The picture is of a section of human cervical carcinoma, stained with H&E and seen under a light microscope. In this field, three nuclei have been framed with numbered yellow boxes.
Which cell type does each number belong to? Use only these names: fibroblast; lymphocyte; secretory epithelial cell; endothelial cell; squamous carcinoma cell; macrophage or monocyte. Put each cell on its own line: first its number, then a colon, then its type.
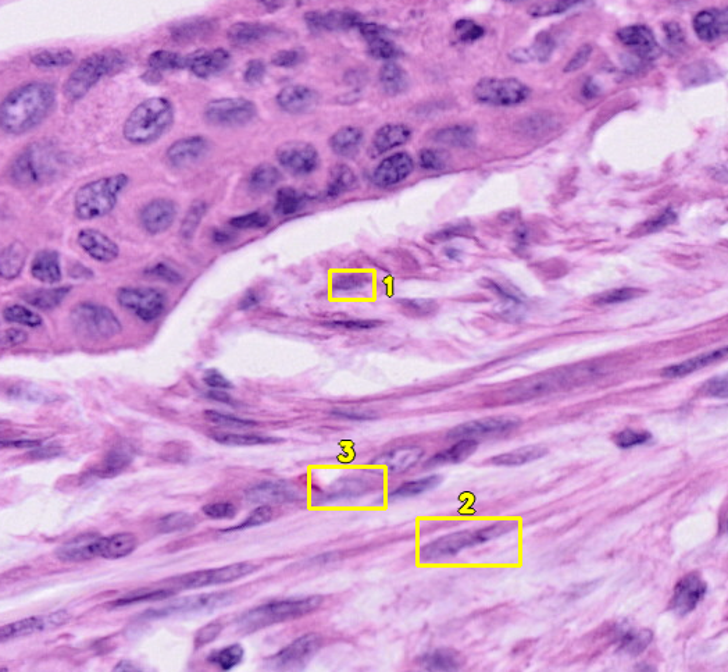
1: fibroblast
2: fibroblast
3: endothelial cell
